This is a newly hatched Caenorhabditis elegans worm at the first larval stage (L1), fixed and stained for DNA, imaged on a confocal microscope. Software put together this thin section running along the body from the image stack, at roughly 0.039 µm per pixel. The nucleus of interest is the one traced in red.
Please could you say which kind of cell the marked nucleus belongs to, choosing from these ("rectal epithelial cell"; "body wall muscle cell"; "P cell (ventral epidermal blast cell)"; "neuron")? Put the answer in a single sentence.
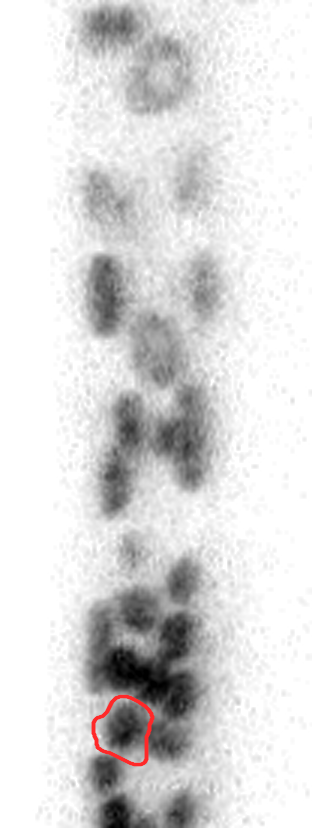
The cell with the marked nucleus is a neuron.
